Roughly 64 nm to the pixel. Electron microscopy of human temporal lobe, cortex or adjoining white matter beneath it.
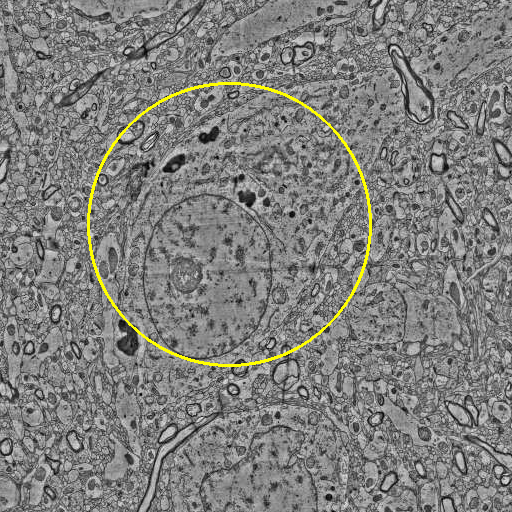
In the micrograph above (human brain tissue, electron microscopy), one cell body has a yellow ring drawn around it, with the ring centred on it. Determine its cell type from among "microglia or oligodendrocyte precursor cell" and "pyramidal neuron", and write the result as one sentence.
The cell whose body is ringed is a pyramidal neuron.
